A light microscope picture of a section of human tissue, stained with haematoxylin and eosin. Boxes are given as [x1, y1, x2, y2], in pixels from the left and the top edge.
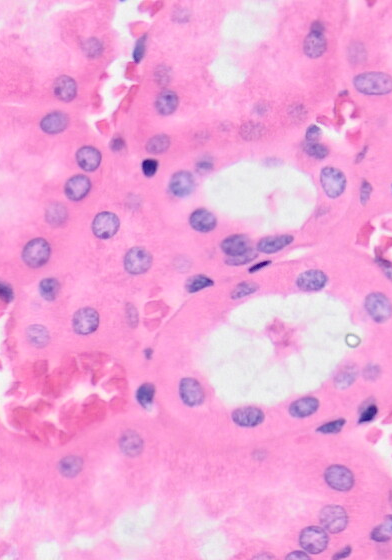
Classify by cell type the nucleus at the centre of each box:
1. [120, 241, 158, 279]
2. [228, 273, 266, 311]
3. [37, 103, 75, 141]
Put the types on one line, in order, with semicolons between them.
proximal tubule cell; loop of Henle or distal tubule cell; proximal tubule cell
